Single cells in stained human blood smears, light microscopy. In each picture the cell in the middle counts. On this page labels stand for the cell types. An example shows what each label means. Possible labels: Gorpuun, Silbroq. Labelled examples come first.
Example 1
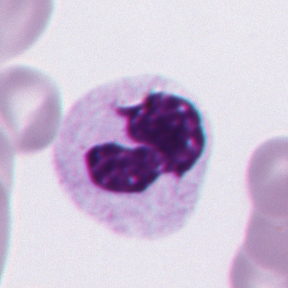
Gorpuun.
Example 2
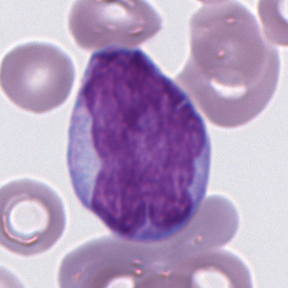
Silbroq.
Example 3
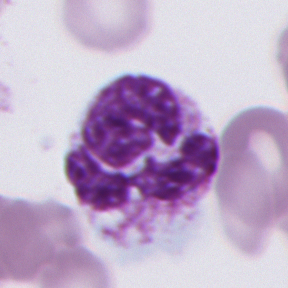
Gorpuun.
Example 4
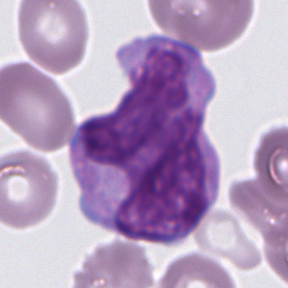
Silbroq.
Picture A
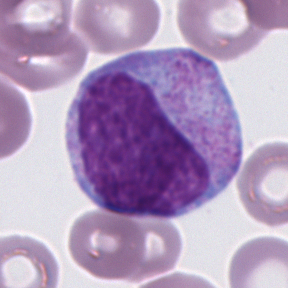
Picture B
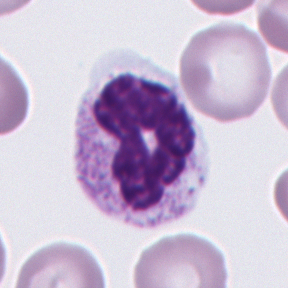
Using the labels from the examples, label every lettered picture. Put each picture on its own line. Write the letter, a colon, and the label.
A: Silbroq.
B: Gorpuun.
